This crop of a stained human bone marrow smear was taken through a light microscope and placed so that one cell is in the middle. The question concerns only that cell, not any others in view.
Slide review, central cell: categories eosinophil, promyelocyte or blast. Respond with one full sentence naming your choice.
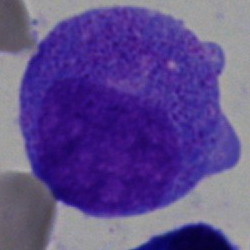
The cell in the middle of the field of view is a promyelocyte.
